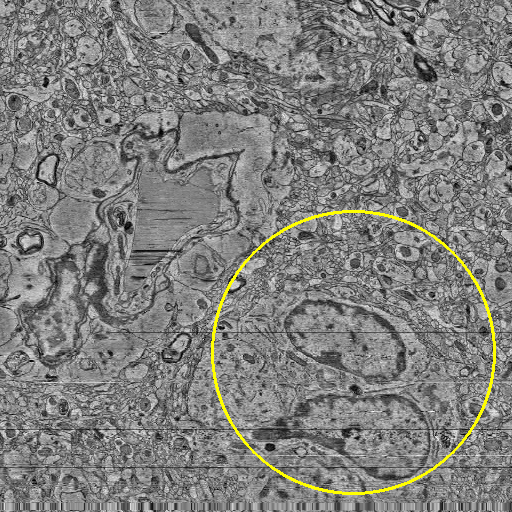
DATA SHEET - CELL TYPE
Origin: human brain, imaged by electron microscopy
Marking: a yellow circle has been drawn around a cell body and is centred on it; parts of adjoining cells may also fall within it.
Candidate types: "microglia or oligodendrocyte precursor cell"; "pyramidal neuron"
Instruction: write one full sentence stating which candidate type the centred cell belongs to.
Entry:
The cell body at the centre of the yellow ring in this micrograph belongs to a microglial cell or oligodendrocyte precursor cell.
